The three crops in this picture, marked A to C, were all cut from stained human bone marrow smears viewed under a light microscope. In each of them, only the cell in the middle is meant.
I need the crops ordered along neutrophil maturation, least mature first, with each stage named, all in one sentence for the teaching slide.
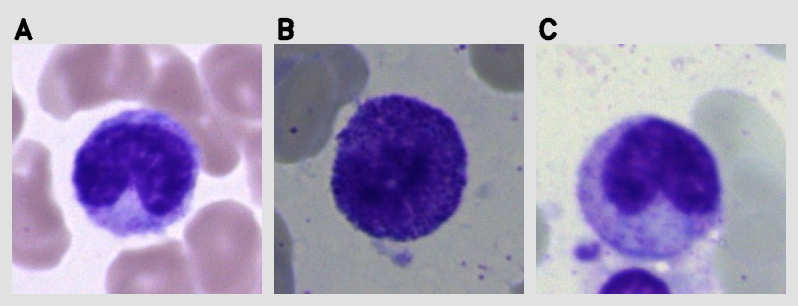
Beginning with the least mature, the order is crop B (a promyelocyte), crop A (a metamyelocyte) and crop C (a band neutrophil).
